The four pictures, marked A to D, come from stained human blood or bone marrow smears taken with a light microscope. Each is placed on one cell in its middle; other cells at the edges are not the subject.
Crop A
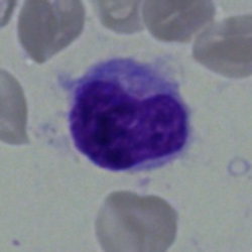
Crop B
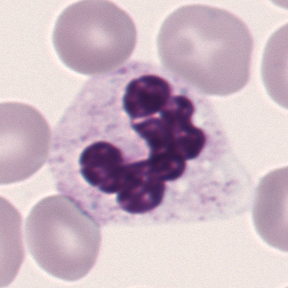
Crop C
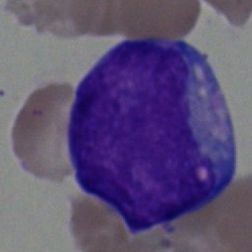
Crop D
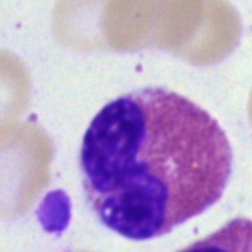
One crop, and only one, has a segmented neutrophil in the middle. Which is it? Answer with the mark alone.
B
